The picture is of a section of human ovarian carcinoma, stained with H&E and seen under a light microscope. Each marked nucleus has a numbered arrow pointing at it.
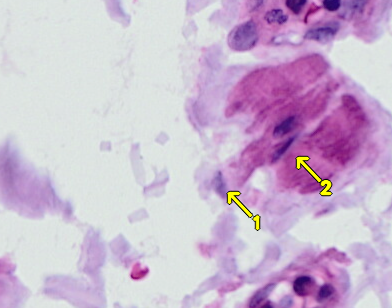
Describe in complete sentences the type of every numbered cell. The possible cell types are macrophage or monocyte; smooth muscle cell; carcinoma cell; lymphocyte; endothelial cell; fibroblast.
Cell 1 is a fibroblast. Cell 2 is a smooth muscle cell.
